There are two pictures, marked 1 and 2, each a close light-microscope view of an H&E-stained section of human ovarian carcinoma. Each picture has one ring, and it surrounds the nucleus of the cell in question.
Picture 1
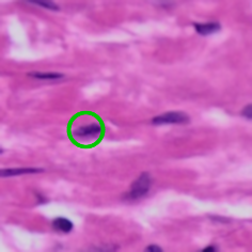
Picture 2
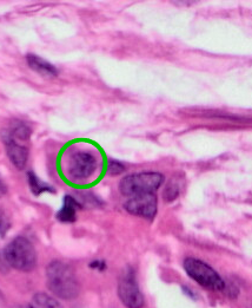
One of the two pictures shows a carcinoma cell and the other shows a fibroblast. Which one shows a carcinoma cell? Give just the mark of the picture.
2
